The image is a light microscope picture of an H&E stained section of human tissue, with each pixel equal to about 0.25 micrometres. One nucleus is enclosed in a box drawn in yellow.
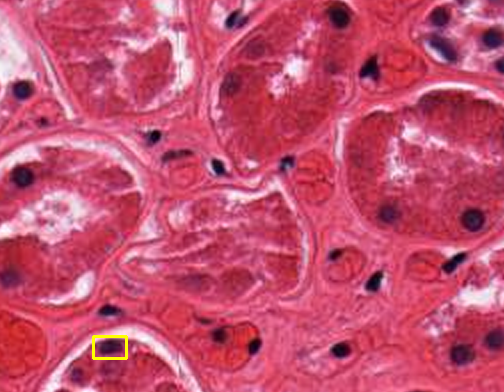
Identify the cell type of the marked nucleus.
proximal tubule cell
